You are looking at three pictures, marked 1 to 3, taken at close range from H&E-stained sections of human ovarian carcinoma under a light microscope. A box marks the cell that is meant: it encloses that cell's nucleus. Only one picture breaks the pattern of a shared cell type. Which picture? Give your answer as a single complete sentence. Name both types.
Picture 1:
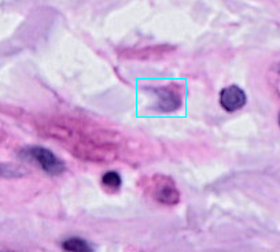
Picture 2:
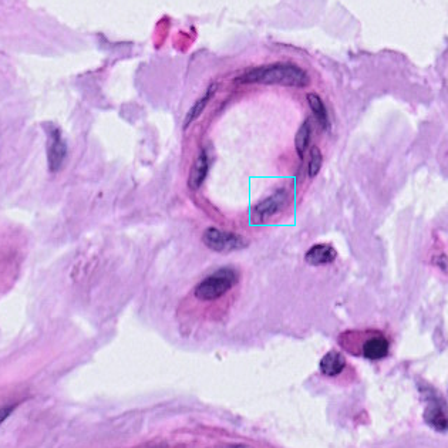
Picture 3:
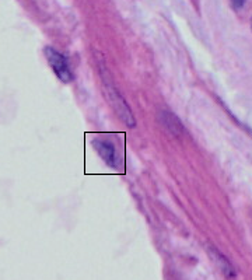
The different one is picture 1; it shows a fibroblast, whereas all the others show endothelial cells.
